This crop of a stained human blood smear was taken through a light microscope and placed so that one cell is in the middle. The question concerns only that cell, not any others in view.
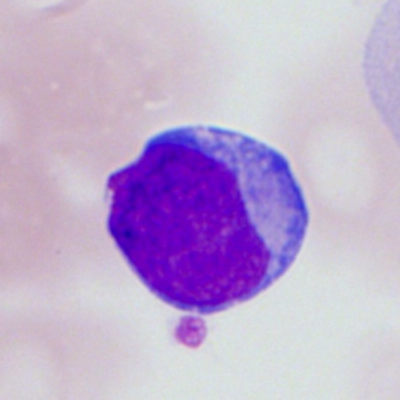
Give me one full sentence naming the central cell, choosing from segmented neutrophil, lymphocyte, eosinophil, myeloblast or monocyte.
This crop is built around a myeloblast at its centre.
